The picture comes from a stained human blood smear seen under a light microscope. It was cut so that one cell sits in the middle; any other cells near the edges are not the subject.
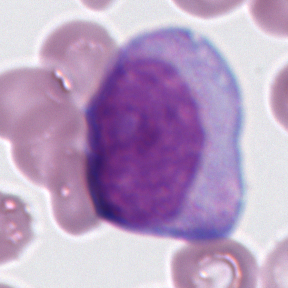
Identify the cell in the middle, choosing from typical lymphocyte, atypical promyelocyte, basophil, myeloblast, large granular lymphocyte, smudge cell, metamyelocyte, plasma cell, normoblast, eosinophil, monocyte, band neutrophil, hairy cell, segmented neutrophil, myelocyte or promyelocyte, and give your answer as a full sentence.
At the middle of the frame sits an atypical promyelocyte.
